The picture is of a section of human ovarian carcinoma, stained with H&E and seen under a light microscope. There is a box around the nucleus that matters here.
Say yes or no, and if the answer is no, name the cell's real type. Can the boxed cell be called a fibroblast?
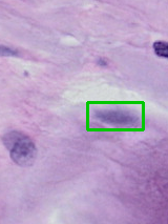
Yes.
